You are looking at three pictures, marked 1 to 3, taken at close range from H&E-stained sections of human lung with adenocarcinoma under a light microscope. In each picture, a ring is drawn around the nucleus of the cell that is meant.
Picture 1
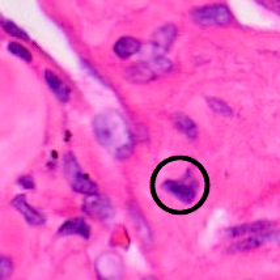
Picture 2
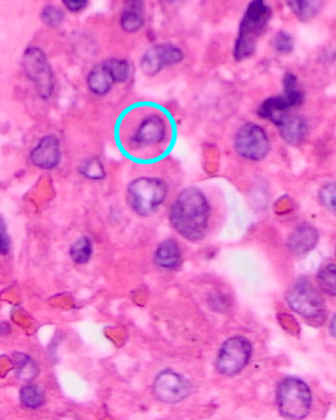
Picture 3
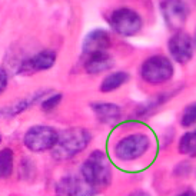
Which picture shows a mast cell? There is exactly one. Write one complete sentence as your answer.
It is picture 3 that shows the mast cell.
